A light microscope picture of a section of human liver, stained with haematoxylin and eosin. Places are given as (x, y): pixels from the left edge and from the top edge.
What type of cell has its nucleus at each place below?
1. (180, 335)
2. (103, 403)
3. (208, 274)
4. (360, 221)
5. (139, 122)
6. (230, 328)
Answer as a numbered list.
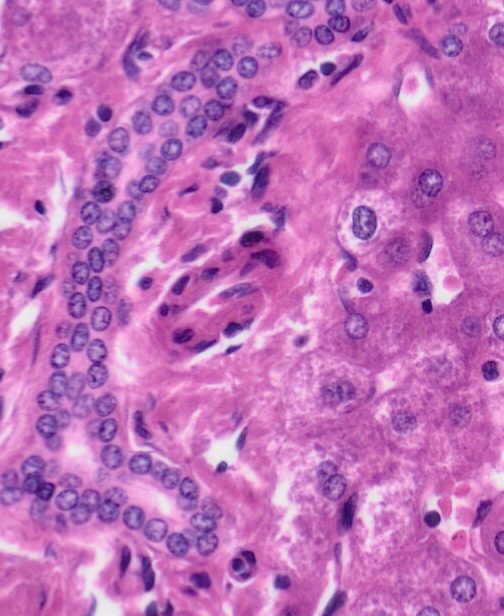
1. fibroblast or stellate cell
2. cholangiocyte
3. fibroblast or stellate cell
4. hepatocyte
5. cholangiocyte
6. fibroblast or stellate cell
